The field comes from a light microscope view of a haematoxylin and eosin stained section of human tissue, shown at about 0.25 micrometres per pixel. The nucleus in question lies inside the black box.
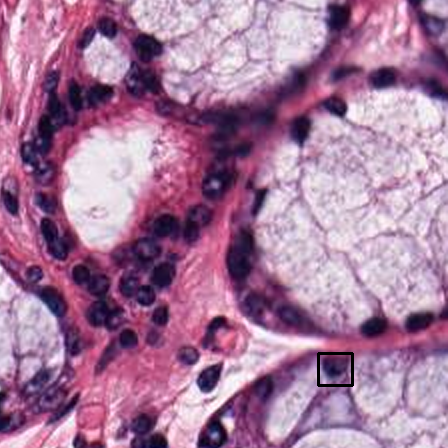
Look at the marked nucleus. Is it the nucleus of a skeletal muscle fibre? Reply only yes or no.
no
